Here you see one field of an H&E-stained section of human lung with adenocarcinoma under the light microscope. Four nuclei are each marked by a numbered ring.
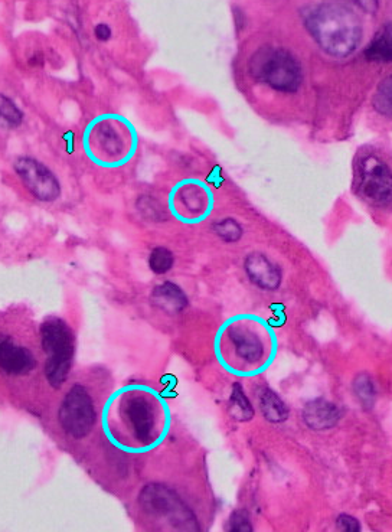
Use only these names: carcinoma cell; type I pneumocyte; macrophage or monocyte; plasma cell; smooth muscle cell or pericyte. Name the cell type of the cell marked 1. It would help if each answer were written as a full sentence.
The cell marked with number 1 is a macrophage or monocyte.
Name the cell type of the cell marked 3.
The cell whose nucleus carries the number 3 is a macrophage or monocyte.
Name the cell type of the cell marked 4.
The cell with the number 4 is a macrophage or monocyte.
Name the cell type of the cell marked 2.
Cell number 2 in this section is a carcinoma cell.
